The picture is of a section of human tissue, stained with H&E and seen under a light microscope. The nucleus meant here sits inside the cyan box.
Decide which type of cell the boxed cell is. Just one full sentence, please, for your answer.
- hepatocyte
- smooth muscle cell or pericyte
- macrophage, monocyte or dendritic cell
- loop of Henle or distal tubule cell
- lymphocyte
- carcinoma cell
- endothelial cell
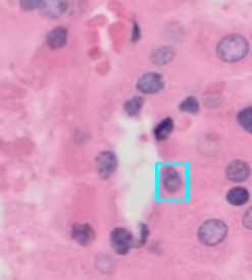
Students should answer that the boxed cell is a loop of Henle or distal tubule cell.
